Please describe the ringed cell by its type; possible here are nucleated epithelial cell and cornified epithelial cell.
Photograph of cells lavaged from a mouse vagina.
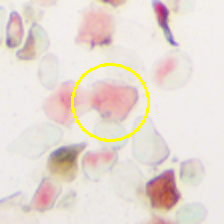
The yellow ring marks a cornified epithelial cell.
